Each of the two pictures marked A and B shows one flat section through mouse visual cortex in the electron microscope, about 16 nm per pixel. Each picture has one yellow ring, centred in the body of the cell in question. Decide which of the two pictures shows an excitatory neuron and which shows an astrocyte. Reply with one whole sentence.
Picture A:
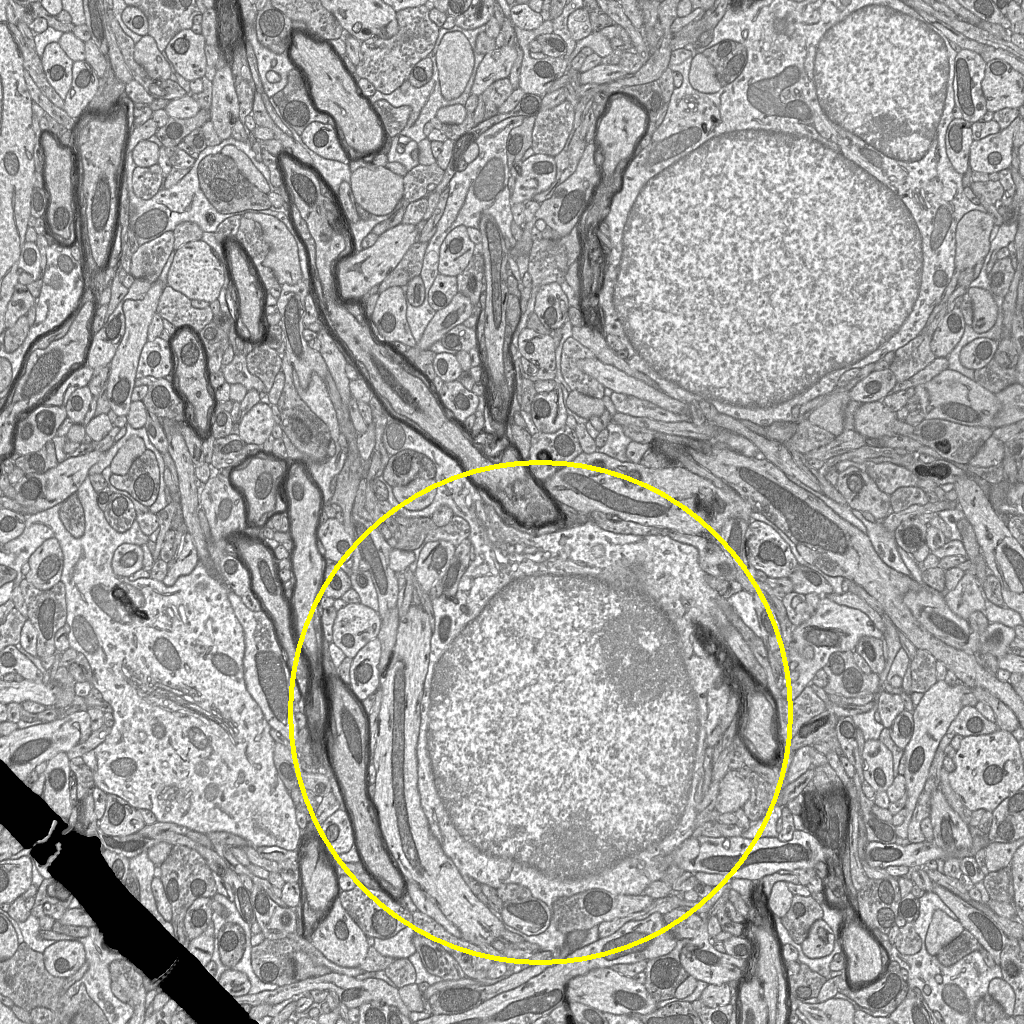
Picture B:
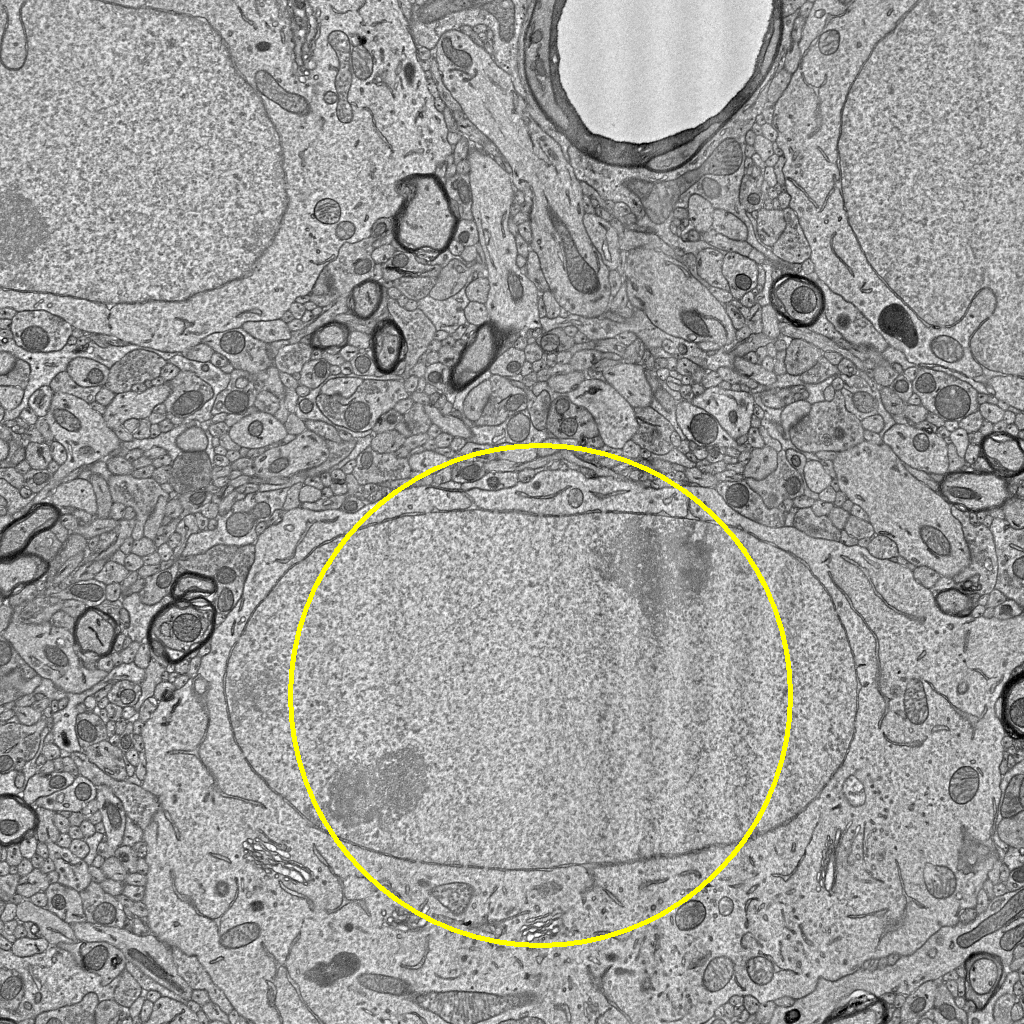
Picture B shows an excitatory neuron, while picture A shows an astrocyte.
